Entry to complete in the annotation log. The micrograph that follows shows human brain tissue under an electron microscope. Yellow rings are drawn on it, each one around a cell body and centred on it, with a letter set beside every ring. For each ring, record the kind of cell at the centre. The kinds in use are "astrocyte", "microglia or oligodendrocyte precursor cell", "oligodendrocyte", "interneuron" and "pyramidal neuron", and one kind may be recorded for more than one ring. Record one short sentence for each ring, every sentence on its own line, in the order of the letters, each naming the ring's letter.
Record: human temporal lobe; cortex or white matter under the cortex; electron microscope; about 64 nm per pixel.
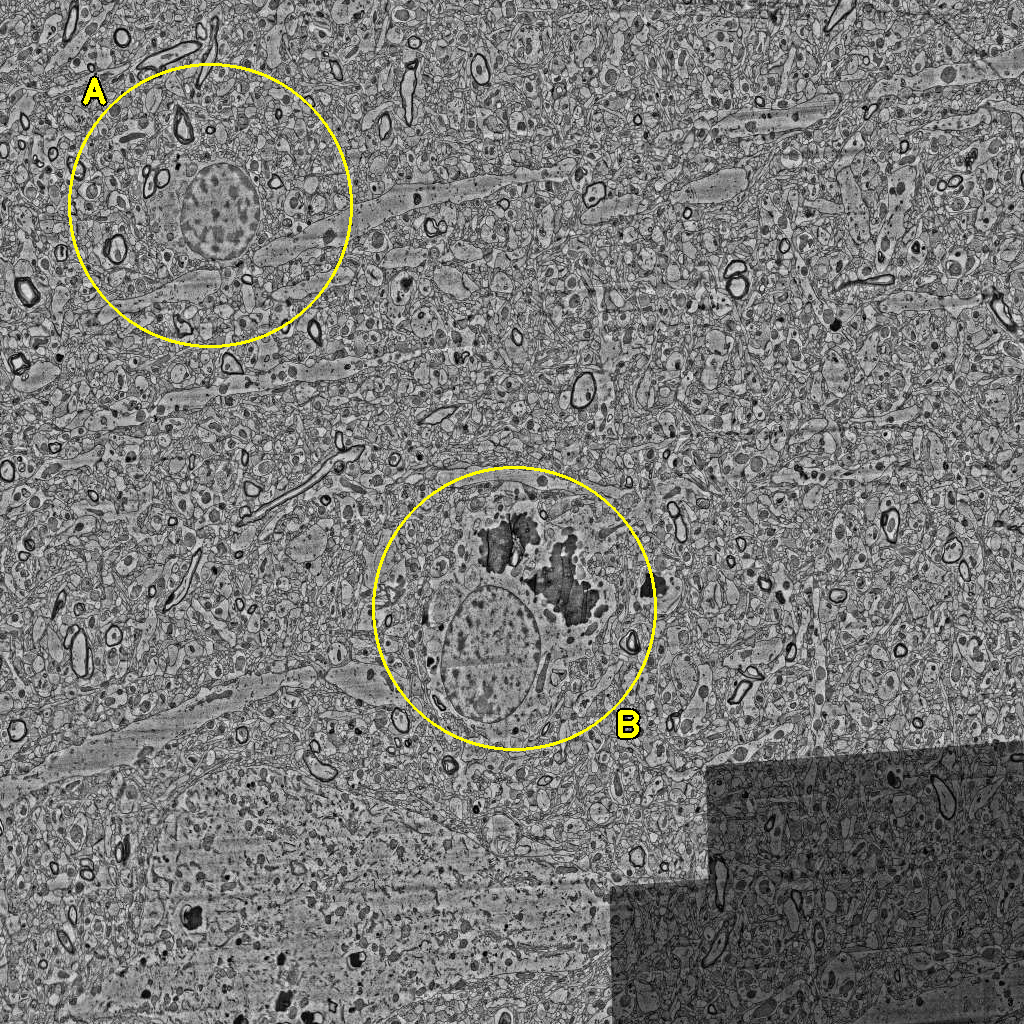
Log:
Ring A is placed around an oligodendrocyte.
Ring B is placed around an astrocyte.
